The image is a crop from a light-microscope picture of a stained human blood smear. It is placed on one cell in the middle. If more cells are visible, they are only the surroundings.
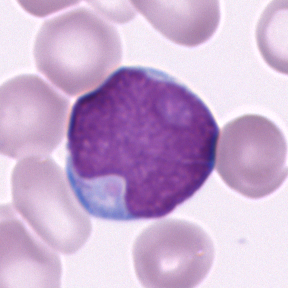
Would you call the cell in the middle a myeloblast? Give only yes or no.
yes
